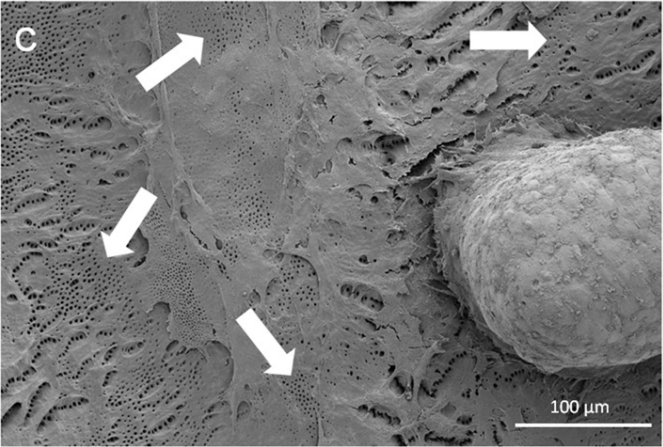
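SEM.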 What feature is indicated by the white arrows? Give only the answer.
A: Dentin tubule-like holes.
